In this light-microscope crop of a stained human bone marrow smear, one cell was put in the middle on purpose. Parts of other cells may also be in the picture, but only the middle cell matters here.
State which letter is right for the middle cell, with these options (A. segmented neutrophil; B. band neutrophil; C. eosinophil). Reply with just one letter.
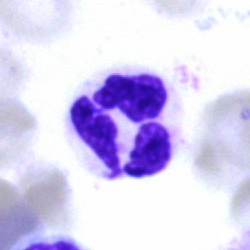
A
